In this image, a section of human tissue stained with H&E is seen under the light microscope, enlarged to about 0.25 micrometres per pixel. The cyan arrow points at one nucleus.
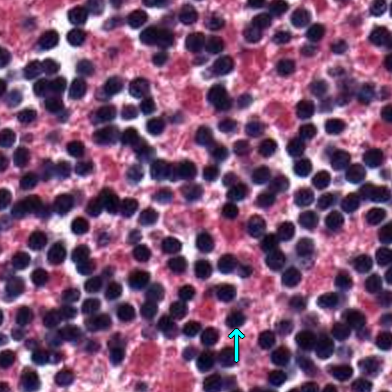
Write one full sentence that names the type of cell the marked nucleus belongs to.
The nucleus with the mark belongs to a cerebellar granule cell.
